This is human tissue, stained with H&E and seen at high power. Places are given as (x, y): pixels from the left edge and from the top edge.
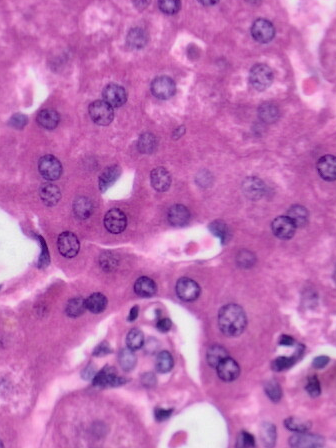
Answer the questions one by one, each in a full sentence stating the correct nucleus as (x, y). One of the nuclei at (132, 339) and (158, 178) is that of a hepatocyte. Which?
It is the nucleus at (158, 178) that belongs to a hepatocyte.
